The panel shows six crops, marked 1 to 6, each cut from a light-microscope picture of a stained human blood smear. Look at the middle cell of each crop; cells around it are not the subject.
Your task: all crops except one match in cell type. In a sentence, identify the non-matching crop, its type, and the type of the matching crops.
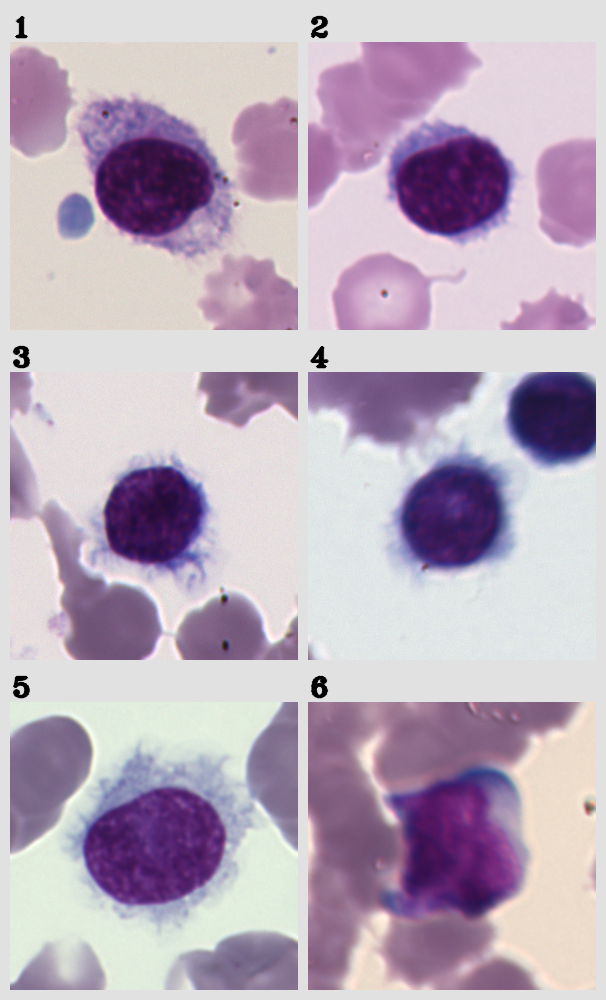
Crop 6 does not match the others; it shows a myeloblast, and they show hairy cells.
